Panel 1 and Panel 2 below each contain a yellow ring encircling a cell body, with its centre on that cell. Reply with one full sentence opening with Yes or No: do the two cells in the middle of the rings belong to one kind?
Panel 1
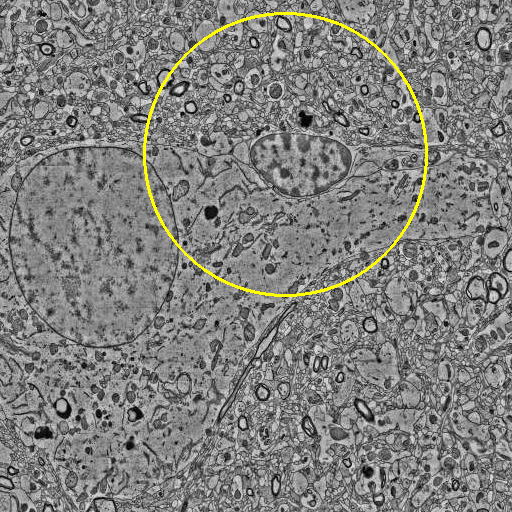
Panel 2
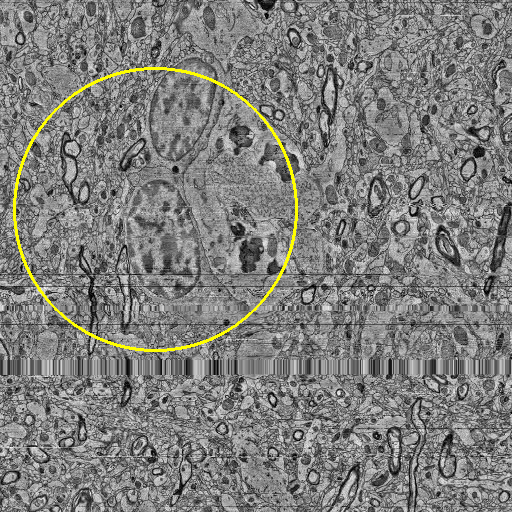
No, the cells at the middle of the Panel 1 ring and the Panel 2 ring are of two kinds.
